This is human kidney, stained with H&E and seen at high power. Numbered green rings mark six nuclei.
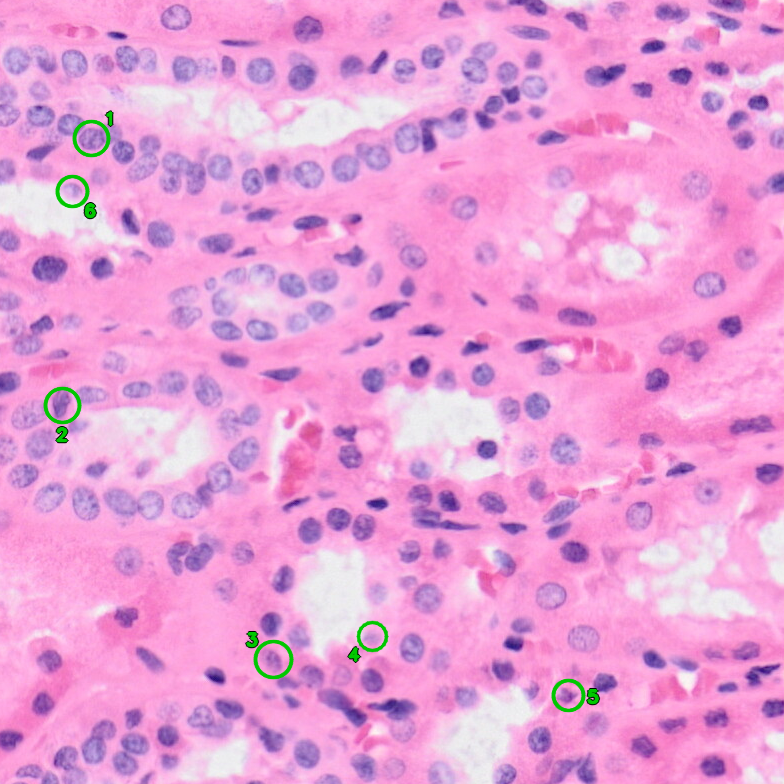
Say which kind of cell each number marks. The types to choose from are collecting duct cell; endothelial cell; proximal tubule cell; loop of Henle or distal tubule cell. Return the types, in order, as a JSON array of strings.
["collecting duct cell", "collecting duct cell", "loop of Henle or distal tubule cell", "loop of Henle or distal tubule cell", "loop of Henle or distal tubule cell", "loop of Henle or distal tubule cell"]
